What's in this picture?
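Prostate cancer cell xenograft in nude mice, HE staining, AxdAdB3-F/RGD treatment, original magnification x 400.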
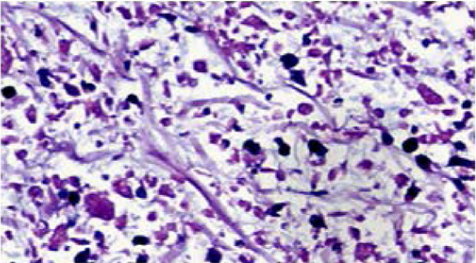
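Here the tumor tissue no longer forms a dense sheet: most of the field is pale, with loose pink fibrillar strands and wisps running between widely spaced cells. Large clear spaces separate the fragments. Only a few cells keep a cohesive look.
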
